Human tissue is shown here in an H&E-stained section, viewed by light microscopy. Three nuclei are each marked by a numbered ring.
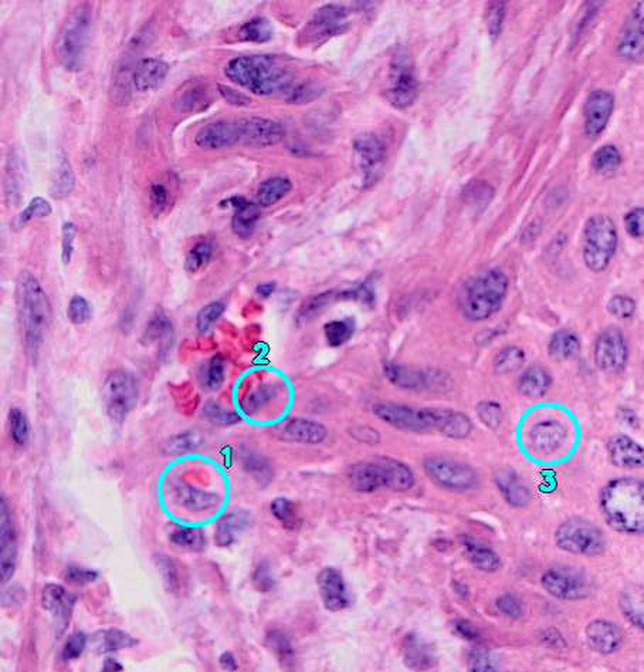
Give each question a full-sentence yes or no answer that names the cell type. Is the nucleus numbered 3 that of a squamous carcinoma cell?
Yes, the cell to which number 3 refers is a squamous carcinoma cell.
